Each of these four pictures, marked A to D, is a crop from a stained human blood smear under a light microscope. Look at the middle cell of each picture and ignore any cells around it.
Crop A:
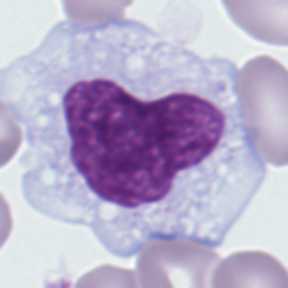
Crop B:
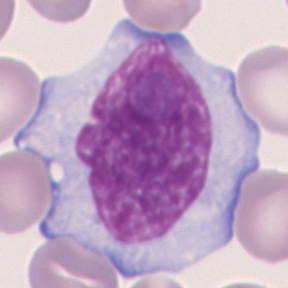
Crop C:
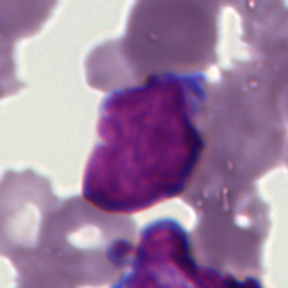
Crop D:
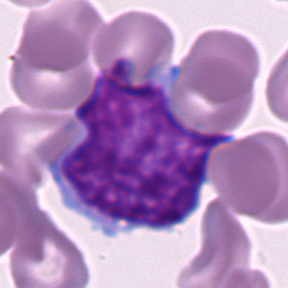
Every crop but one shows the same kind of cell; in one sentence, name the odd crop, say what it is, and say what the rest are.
Here the outlier is crop A, which is a monocyte, and the rest are blasts.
